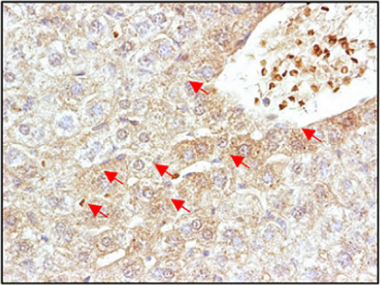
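Liver parenchyma is shown, with hepatocytes arranged in cords beside a large vessel lumen. The hepatocytes are large polygonal cells with round, pale blue, centrally placed nuclei that show distinct nucleoli. Their cytoplasm carries a diffuse brown stain, and several of them are marked by arrows. The vessel lumen contains a cluster of small, rounded cells that stain dark brown.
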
